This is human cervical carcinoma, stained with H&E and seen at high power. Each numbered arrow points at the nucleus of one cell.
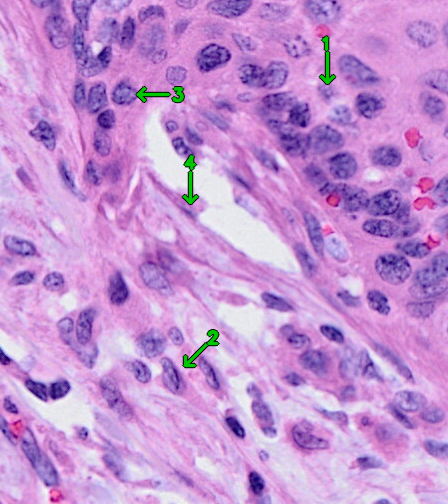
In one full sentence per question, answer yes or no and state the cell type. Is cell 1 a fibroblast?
No, cell 1 is not a fibroblast; it is a squamous carcinoma cell.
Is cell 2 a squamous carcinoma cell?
No, it is not a squamous carcinoma cell that bears number 2 but a macrophage or monocyte.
